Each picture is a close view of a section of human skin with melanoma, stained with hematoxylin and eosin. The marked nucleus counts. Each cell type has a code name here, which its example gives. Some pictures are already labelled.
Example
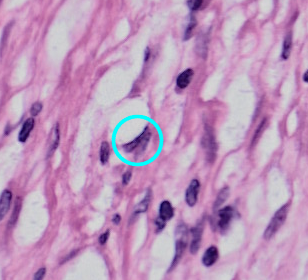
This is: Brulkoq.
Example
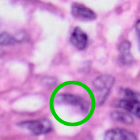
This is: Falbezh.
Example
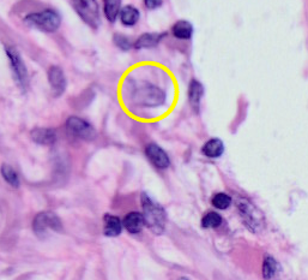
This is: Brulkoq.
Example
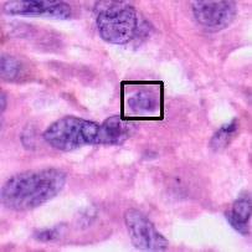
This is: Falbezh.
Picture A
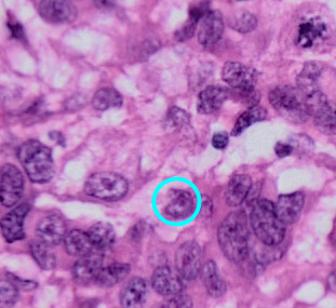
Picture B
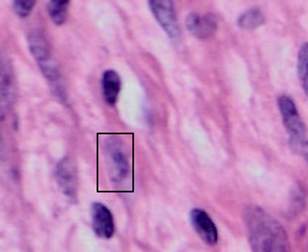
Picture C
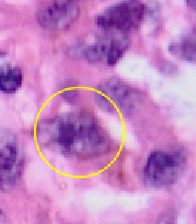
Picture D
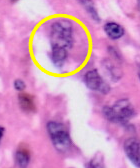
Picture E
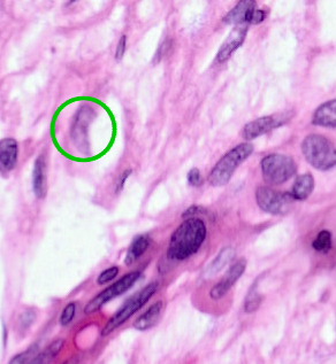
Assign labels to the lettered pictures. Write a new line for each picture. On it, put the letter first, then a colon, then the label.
A: Falbezh.
B: Brulkoq.
C: Falbezh.
D: Falbezh.
E: Brulkoq.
